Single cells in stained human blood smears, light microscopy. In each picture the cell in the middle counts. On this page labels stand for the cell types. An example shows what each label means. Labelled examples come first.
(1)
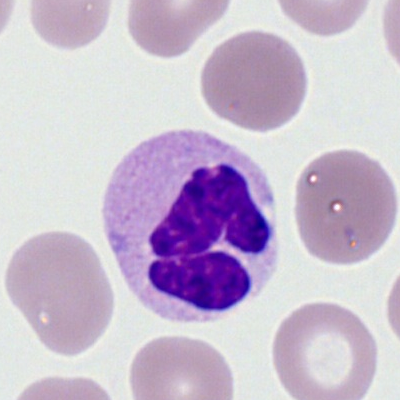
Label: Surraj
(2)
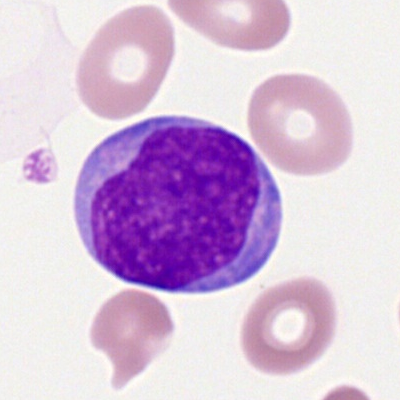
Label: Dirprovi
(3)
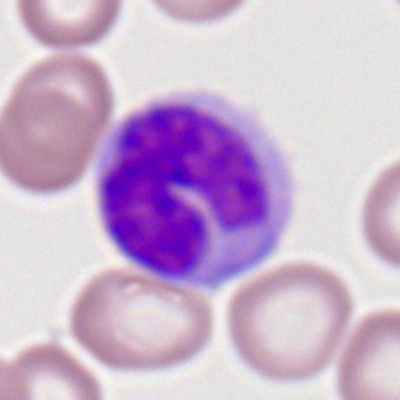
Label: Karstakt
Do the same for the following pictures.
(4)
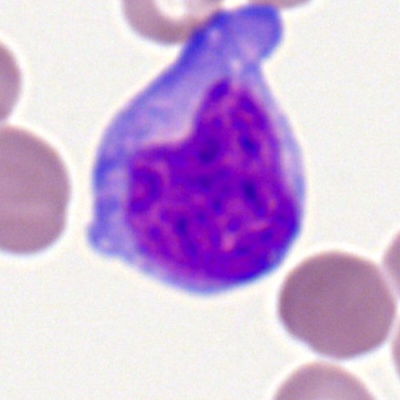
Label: Dirprovi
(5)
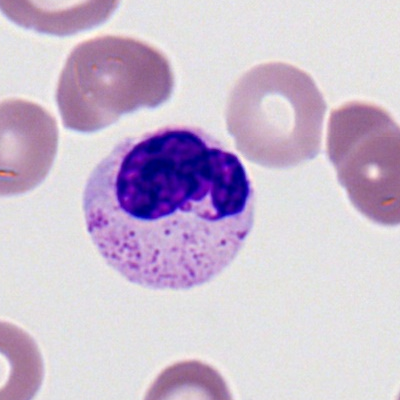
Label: Surraj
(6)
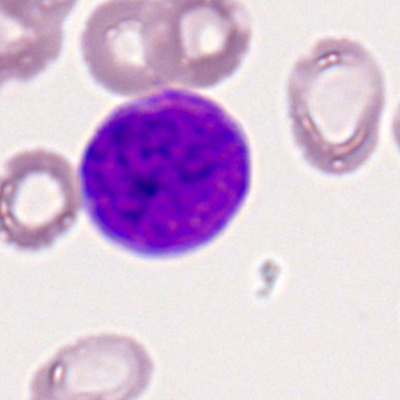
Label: Dirprovi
